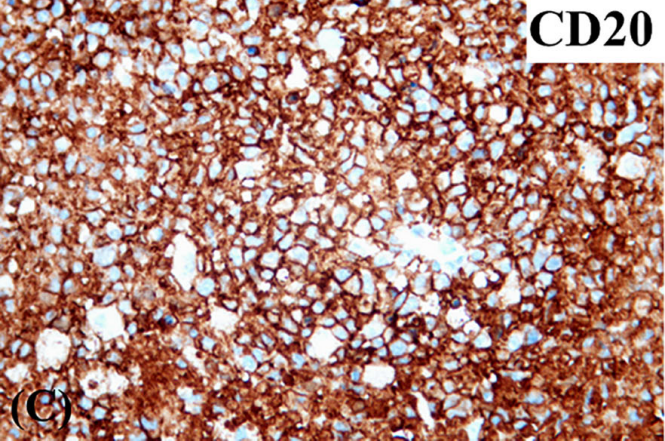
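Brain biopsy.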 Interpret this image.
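This is a dense infiltrate of lymphocytes in which almost every cell is stained brown. The brown colour lies at the rims of the cells, outlining each one like a net. Inside the outlines the round nuclei are pale blue. A few empty, unstained clear spaces are scattered through the sheet.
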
